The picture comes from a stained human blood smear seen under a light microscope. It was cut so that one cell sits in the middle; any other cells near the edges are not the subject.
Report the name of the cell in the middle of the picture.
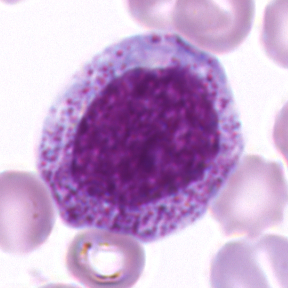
promyelocyte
